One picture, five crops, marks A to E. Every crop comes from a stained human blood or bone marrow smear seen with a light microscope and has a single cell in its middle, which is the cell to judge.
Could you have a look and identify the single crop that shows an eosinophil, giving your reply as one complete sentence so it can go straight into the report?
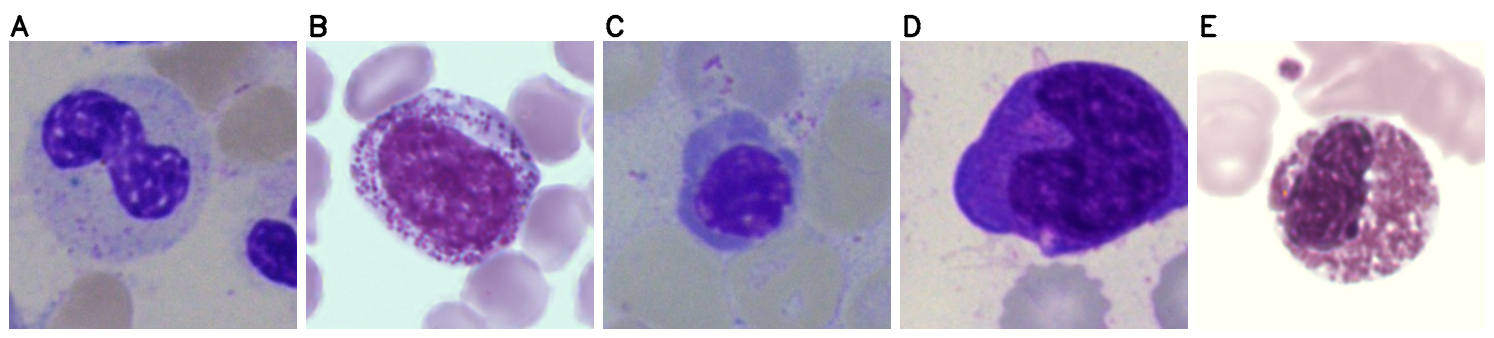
The one that shows an eosinophil is crop E.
